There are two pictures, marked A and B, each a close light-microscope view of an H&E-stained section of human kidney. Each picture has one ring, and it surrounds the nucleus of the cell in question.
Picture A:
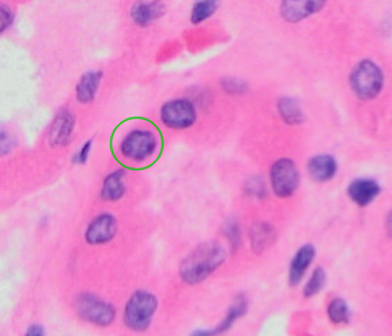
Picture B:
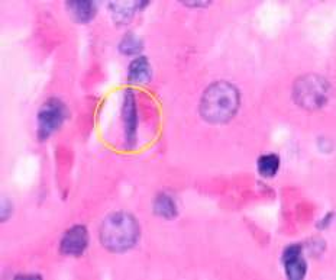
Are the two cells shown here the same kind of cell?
no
